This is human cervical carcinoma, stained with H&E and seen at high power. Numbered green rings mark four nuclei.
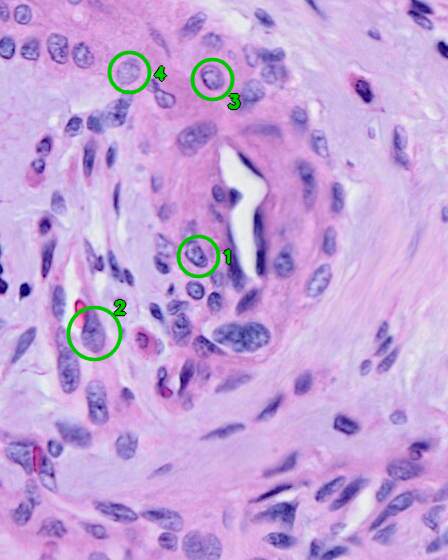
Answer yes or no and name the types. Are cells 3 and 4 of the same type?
Yes, cell 3 and cell 4 are both smooth muscle cells.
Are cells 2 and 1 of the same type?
No, the proper labels are an endothelial cell for cell 2 and a smooth muscle cell for cell 1.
